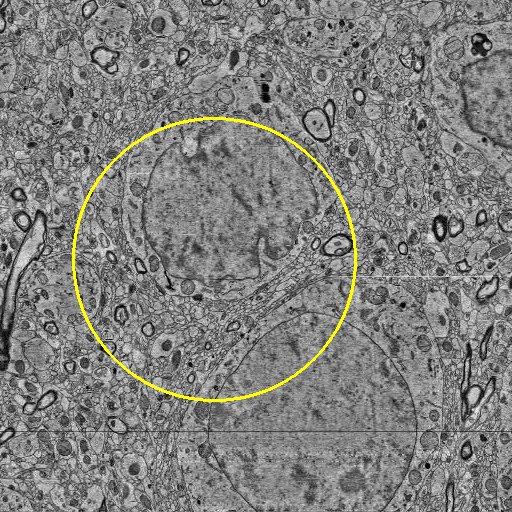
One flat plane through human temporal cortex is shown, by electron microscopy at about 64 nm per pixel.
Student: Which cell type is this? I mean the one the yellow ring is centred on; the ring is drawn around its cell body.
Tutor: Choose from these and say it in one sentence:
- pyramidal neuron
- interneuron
The cell the ring is centred on is an interneuron.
